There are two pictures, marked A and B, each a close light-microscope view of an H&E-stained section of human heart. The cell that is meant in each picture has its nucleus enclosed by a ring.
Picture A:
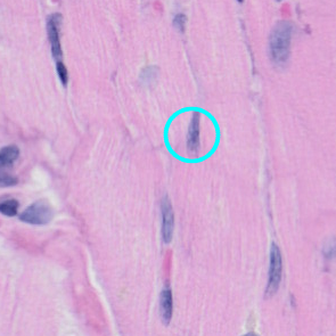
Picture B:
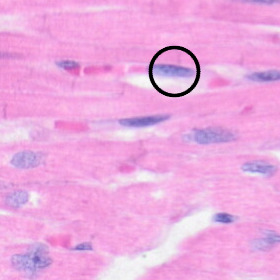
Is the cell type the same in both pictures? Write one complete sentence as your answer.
Yes, both cells are endothelial cells.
